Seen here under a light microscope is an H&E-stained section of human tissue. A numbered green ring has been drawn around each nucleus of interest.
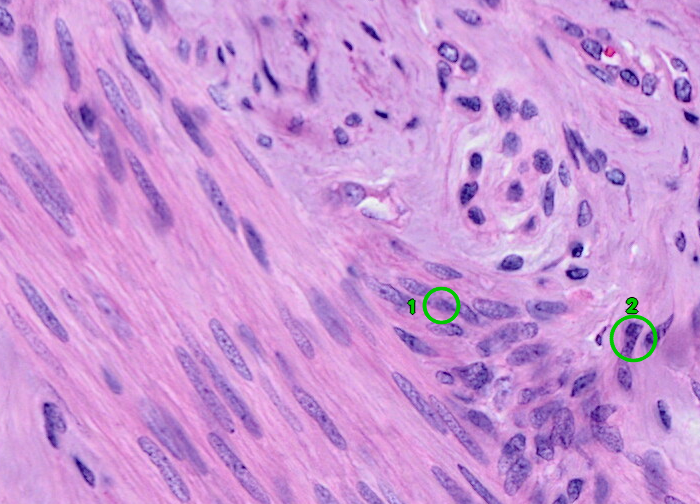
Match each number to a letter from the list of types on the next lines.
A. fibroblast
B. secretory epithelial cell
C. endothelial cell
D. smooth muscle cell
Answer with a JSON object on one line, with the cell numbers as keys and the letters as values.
{"1": "D", "2": "A"}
